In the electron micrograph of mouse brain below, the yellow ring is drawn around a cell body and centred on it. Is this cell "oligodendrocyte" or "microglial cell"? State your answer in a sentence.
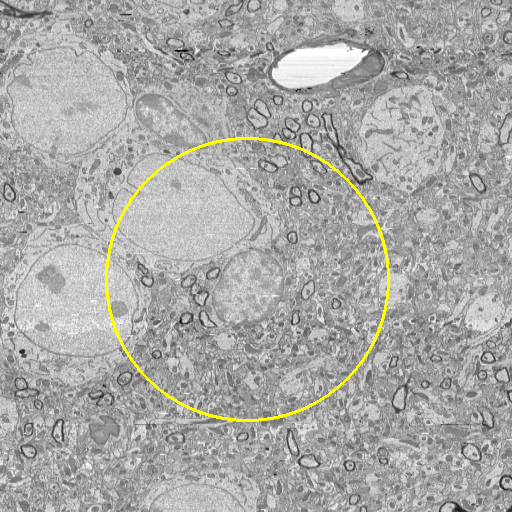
The cell in the middle of the ring is an oligodendrocyte.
